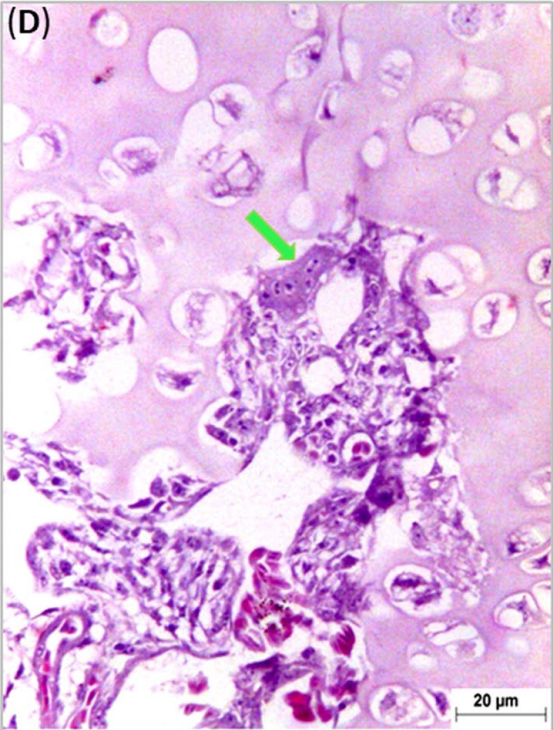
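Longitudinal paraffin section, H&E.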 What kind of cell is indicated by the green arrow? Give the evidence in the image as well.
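The arrow points to a large cell with several nuclei. The cell lies at the edge of a cavity eroding into the cartilage matrix.
Hence: osteoclast cell.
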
